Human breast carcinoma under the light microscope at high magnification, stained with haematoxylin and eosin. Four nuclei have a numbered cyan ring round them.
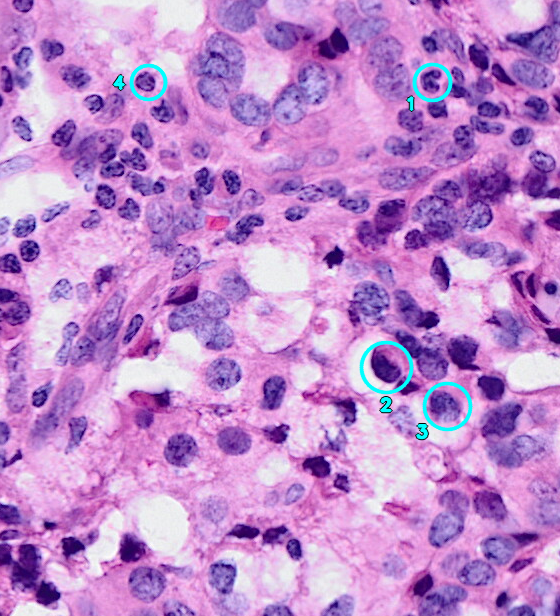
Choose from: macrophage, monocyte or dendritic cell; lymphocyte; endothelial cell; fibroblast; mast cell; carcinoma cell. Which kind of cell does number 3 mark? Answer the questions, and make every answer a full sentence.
The cell to which the number 3 is assigned is a carcinoma cell.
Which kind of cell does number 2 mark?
In this section, the cell numbered 2 is a carcinoma cell.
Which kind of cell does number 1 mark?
The cell numbered 1 has been identified as a lymphocyte.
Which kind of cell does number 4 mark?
Belonging to a lymphocyte is the nucleus that carries the number 4.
